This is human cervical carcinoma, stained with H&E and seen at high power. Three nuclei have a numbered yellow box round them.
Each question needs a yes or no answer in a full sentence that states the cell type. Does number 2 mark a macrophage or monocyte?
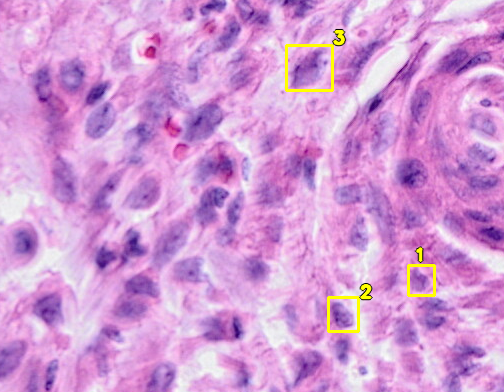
Yes, the one numbered 2 is a macrophage or monocyte.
